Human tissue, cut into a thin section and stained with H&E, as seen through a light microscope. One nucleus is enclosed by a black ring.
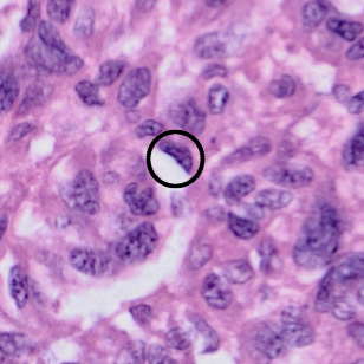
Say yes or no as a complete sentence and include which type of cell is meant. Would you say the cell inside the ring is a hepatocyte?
No, the cell inside the ring corresponds to a melanoma cell rather than to a hepatocyte.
